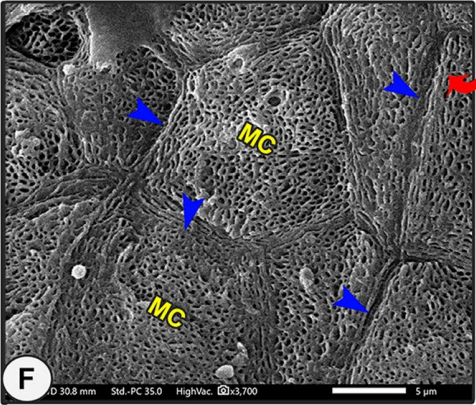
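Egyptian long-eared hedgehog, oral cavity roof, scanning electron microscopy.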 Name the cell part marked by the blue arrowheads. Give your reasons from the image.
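The blue arrowheads sit on raised lines between polygonal surface cells. Each polygon is covered in a fine net of ridges and pits. The lines separate neighbouring polygons. On this evidence: border.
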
